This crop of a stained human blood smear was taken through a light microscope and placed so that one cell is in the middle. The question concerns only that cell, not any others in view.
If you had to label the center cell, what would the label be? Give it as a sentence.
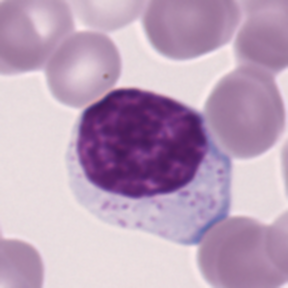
The crop shows a large granular lymphocyte in its centre.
